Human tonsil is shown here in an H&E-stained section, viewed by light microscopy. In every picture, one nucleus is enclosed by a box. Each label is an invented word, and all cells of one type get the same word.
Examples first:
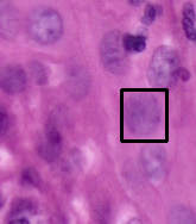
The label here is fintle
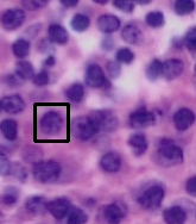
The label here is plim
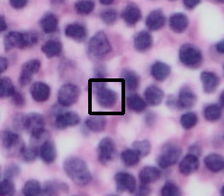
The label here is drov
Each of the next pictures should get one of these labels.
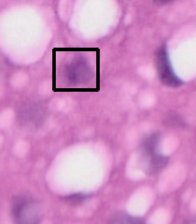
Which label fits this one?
fintle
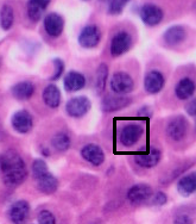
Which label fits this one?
plim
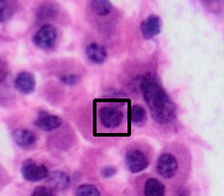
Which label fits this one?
plim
